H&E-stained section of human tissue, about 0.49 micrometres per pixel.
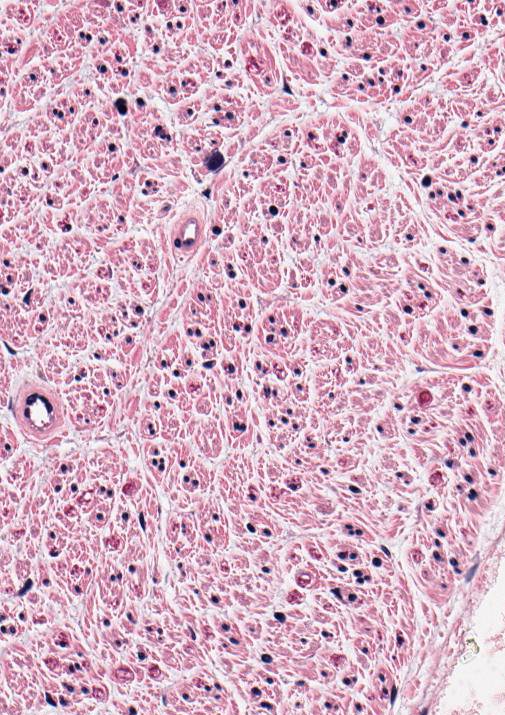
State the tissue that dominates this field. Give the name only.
nerve fascicle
